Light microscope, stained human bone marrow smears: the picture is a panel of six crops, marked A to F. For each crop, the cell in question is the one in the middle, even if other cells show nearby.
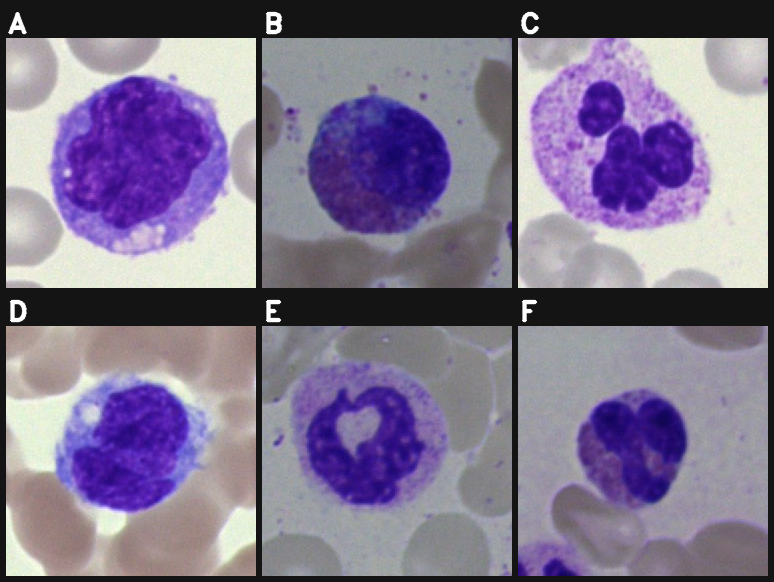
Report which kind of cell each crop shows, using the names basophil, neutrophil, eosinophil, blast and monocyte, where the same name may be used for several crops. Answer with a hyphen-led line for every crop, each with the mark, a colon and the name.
- A: monocyte
- B: eosinophil
- C: neutrophil
- D: monocyte
- E: neutrophil
- F: eosinophil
